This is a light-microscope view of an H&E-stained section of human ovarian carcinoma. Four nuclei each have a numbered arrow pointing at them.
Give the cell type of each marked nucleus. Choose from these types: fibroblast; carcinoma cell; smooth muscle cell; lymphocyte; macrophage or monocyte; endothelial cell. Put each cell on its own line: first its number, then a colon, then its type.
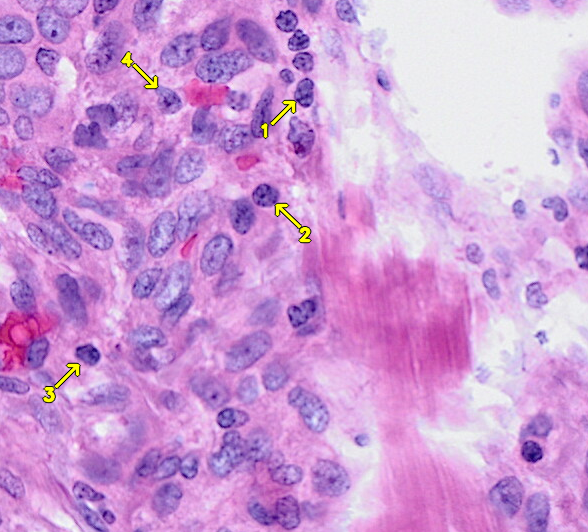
1: lymphocyte
2: lymphocyte
3: lymphocyte
4: macrophage or monocyte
